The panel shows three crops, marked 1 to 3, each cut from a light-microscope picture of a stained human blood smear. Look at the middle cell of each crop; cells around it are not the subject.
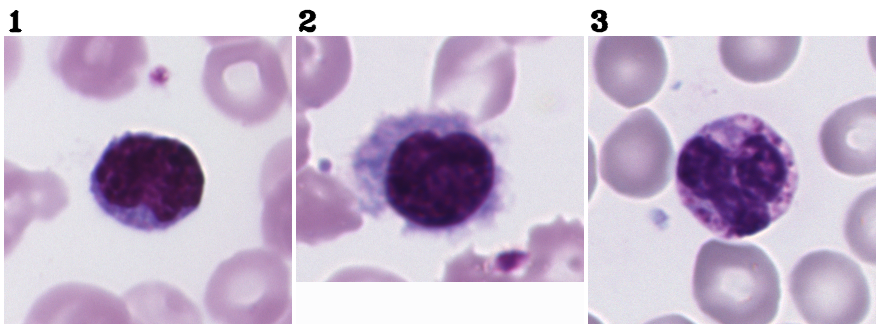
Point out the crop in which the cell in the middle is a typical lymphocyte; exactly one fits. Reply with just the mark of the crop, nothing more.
1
